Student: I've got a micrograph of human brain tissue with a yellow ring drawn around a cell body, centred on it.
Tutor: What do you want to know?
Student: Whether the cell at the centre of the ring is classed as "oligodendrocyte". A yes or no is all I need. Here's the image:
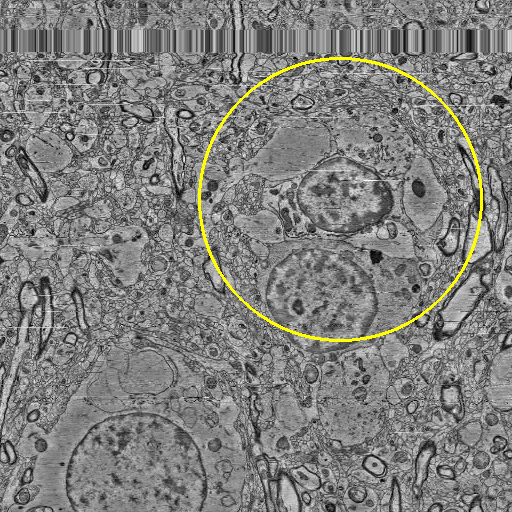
no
